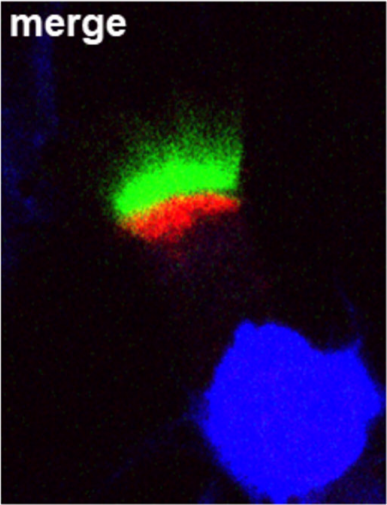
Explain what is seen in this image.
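A ciliated cell with a curved tuft of cilia in green, with a large blue nucleus below and to the right. A crescent band of red lies just beneath the base of the tuft, on the apical side of the cytoplasm, rather than along the cilia. The tuft itself stays green with little yellow overlap. Faint blue from a neighbouring cell is seen at the left edge.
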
